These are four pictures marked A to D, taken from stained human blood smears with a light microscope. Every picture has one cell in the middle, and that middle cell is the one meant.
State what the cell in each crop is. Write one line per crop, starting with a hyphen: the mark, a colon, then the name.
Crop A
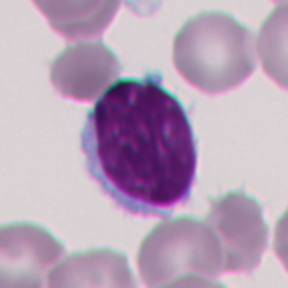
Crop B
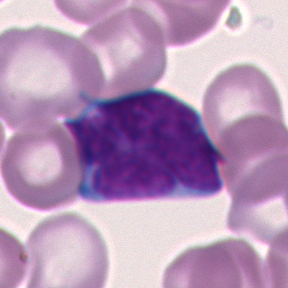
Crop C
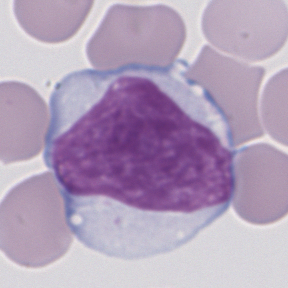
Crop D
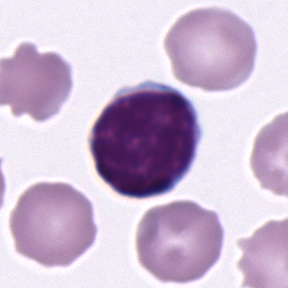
- A: typical lymphocyte
- B: myeloblast
- C: myeloblast
- D: typical lymphocyte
